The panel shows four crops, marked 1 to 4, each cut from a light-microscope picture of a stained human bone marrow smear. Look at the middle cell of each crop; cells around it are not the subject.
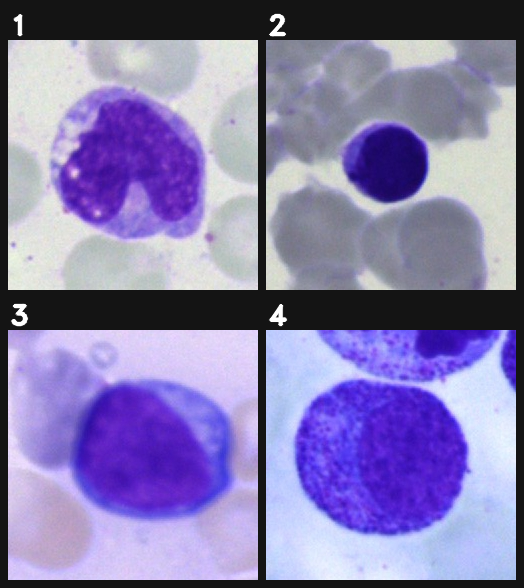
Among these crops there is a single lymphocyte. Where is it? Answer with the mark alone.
2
